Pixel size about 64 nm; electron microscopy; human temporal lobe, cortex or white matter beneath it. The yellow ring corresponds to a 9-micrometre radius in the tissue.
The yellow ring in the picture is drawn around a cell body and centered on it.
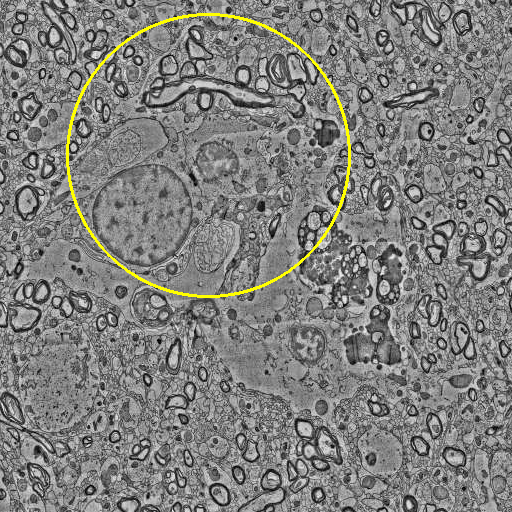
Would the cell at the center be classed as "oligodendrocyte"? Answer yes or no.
Yes, it belongs to that class.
